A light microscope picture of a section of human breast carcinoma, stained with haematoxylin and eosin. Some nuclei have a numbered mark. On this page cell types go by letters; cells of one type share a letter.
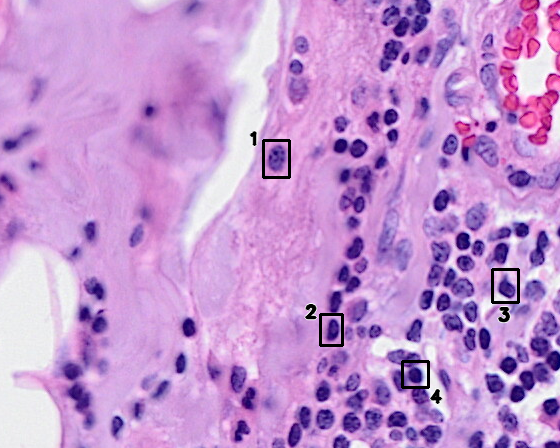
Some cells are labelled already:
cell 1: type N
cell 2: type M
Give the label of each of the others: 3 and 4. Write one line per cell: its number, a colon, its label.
3: type M
4: type M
